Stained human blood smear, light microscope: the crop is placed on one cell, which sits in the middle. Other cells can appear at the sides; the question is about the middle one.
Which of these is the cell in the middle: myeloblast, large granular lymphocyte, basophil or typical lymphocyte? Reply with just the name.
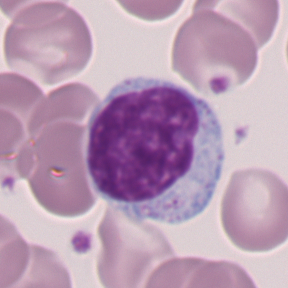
large granular lymphocyte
